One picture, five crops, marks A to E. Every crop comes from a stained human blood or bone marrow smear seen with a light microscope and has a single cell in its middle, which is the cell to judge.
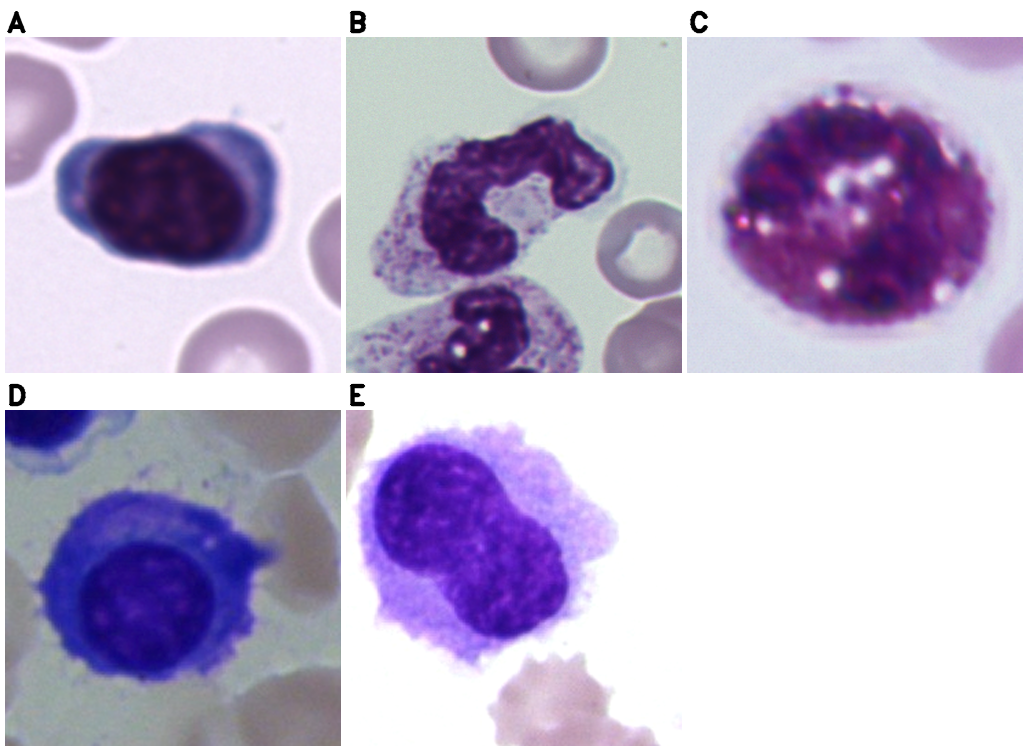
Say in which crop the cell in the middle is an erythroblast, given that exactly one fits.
A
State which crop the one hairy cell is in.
E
